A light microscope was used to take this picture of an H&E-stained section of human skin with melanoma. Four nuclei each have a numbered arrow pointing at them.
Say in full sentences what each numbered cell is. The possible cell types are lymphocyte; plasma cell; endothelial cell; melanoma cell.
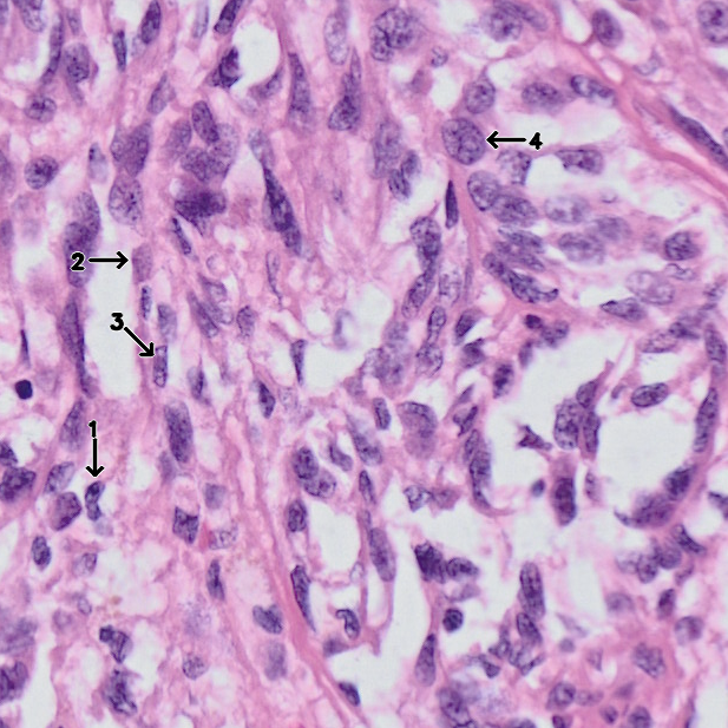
Cell 1 is a lymphocyte, cell 2 is a melanoma cell, cell 3 is a melanoma cell and cell 4 is a melanoma cell.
